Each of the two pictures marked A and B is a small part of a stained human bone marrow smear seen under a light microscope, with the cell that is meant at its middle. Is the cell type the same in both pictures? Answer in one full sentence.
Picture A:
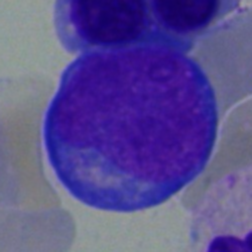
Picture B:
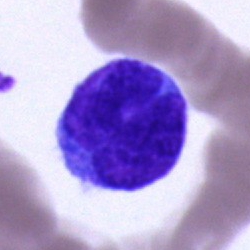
Yes, they are the same type: both are blasts.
